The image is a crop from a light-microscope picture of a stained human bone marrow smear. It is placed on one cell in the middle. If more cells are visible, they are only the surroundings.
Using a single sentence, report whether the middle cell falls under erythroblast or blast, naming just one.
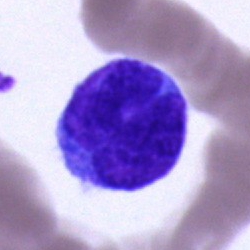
Among the cells in view, the one in the middle is a blast.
